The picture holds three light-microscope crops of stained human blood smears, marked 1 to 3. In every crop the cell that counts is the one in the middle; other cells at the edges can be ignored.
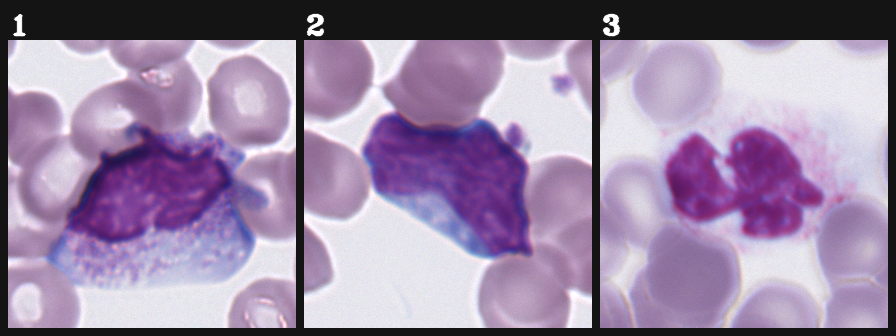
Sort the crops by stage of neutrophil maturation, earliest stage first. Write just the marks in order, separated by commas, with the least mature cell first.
2, 1, 3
